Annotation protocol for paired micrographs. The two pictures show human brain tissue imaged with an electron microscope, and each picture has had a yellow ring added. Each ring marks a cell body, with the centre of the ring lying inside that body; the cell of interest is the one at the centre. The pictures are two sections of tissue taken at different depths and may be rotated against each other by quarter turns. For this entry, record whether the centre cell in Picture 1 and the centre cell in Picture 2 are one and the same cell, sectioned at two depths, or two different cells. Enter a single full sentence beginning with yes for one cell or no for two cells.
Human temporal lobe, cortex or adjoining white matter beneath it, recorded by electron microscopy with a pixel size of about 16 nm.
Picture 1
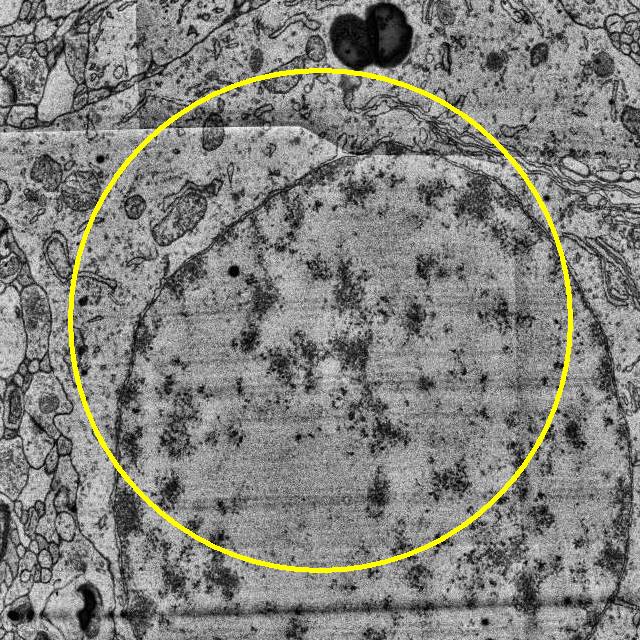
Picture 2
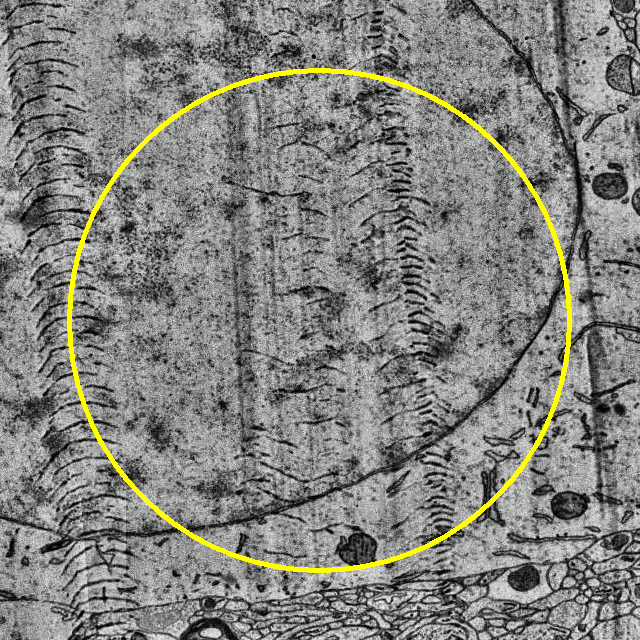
No, the ringed cells are two separate cells.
